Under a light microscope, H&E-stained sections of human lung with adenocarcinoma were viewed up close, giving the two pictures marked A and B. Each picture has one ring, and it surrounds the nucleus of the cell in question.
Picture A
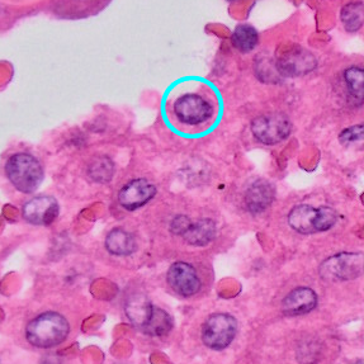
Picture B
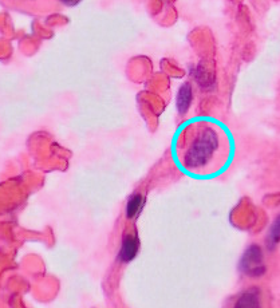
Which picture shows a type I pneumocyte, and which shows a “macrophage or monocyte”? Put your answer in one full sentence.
Picture B shows a type I pneumocyte, while picture A shows a “macrophage or monocyte”.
